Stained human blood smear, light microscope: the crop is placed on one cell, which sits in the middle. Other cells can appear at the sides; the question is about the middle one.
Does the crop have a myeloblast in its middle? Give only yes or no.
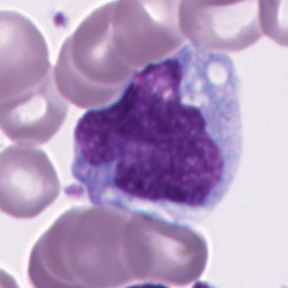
no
